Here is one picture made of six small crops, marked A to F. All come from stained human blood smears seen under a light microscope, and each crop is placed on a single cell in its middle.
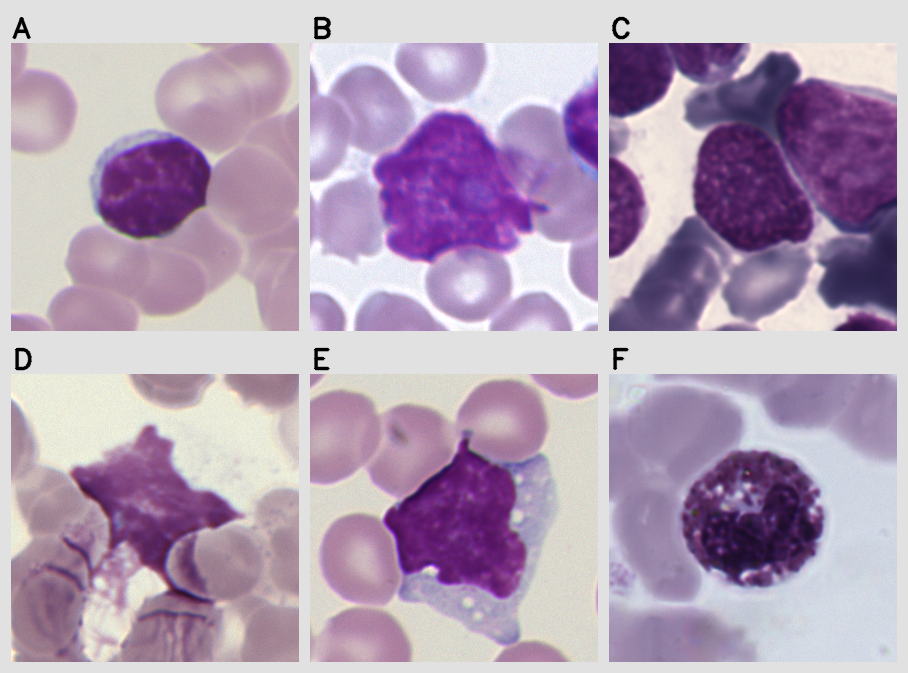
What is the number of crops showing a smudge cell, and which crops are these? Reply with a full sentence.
Total crops with smudge cells: two, namely B and D.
